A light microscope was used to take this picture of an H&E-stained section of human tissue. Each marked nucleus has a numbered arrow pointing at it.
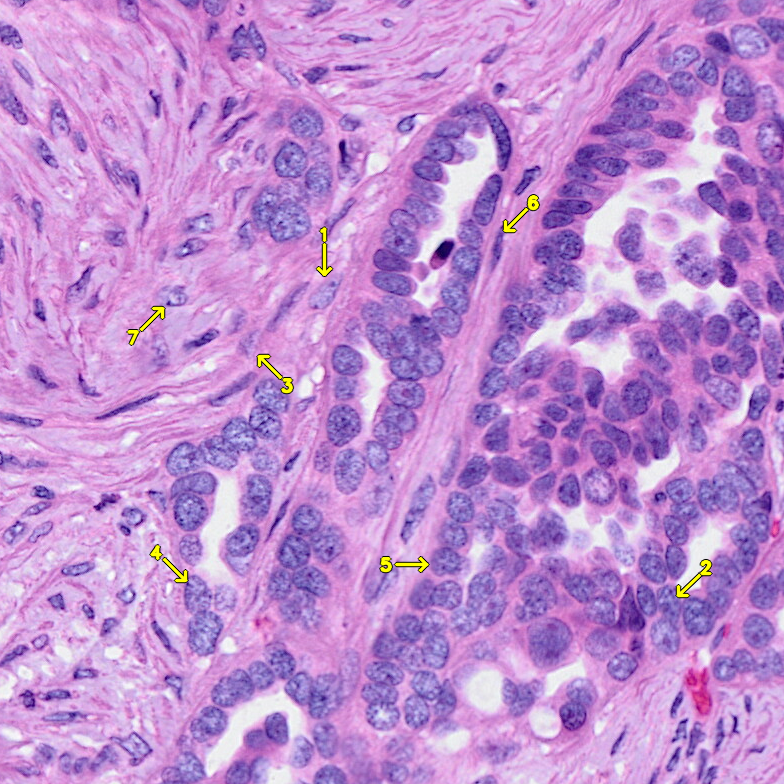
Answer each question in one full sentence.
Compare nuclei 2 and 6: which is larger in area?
Of the two, number 2 is bigger and takes up about 4 times the area of number 6.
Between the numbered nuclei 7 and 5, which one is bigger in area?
Nucleus 5 is the larger one, covering about 1.5 times the area of nucleus 7.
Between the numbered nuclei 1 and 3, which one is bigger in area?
Nucleus 1 covers more area, about 1.5 times as much as nucleus 3.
